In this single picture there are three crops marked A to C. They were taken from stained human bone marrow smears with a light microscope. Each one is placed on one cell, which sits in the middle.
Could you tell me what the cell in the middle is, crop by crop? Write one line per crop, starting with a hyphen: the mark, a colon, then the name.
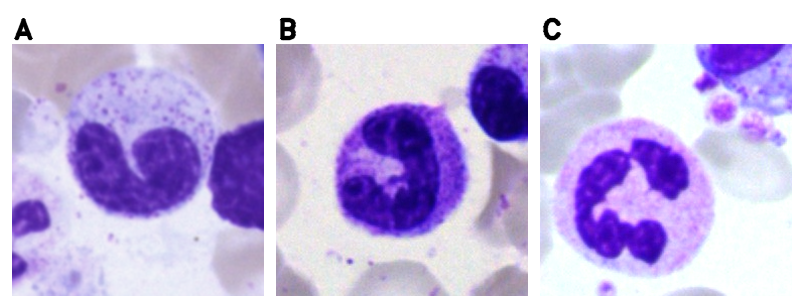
- A: band neutrophil
- B: band neutrophil
- C: segmented neutrophil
